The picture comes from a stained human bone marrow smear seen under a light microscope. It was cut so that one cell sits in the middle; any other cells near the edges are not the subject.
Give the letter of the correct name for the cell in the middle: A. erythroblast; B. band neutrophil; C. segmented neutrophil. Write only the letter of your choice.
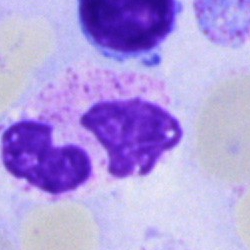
C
